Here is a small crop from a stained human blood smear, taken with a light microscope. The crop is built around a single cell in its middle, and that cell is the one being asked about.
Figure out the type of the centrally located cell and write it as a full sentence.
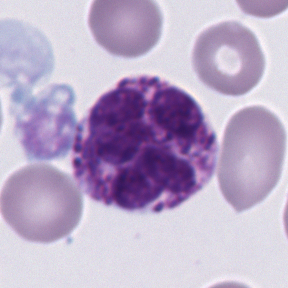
The central cell shown in this smear crop is a basophil.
